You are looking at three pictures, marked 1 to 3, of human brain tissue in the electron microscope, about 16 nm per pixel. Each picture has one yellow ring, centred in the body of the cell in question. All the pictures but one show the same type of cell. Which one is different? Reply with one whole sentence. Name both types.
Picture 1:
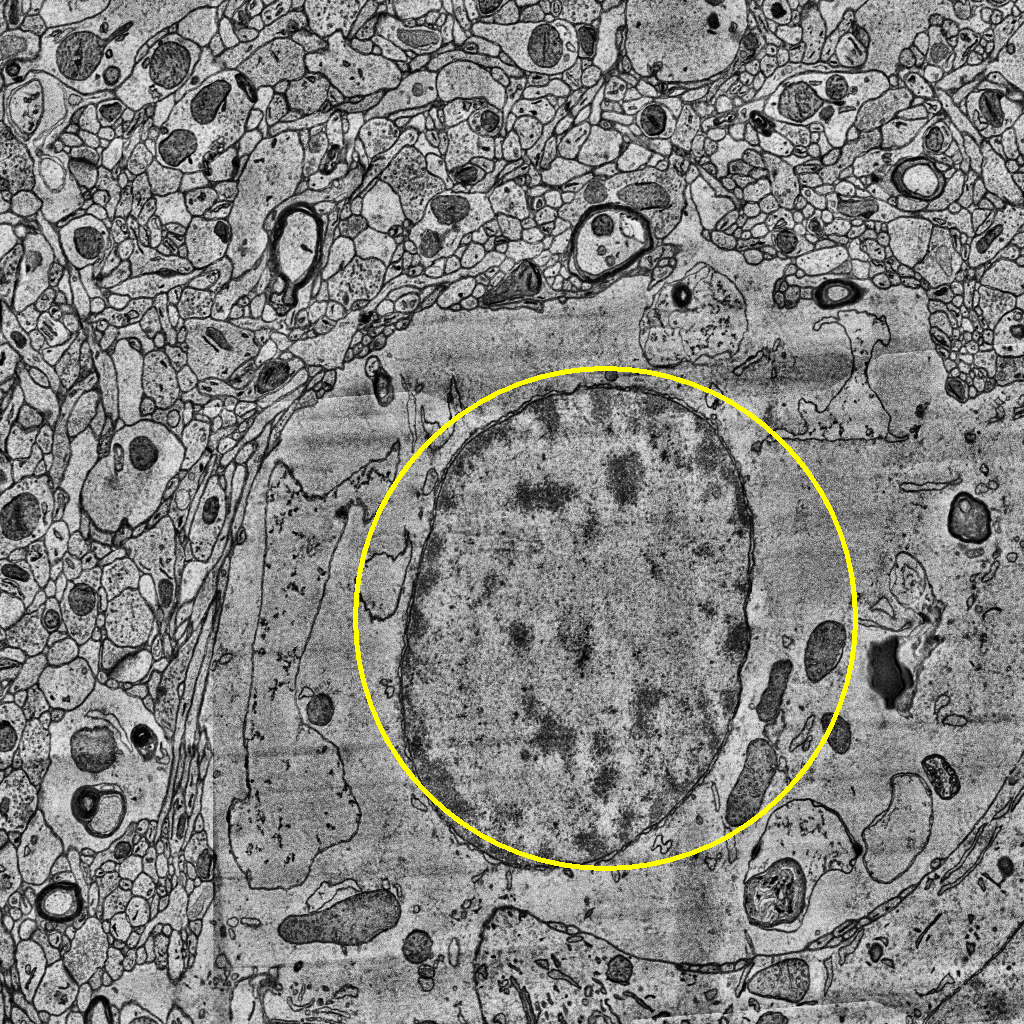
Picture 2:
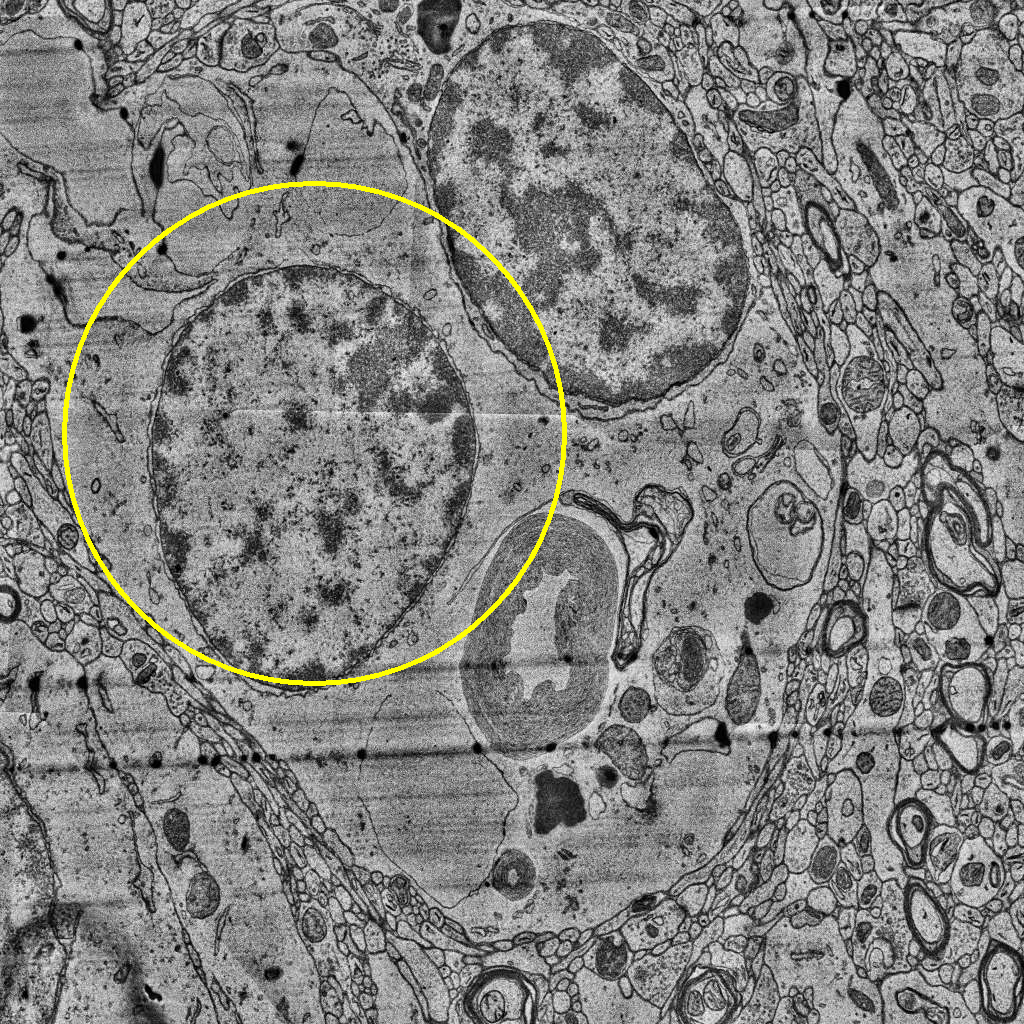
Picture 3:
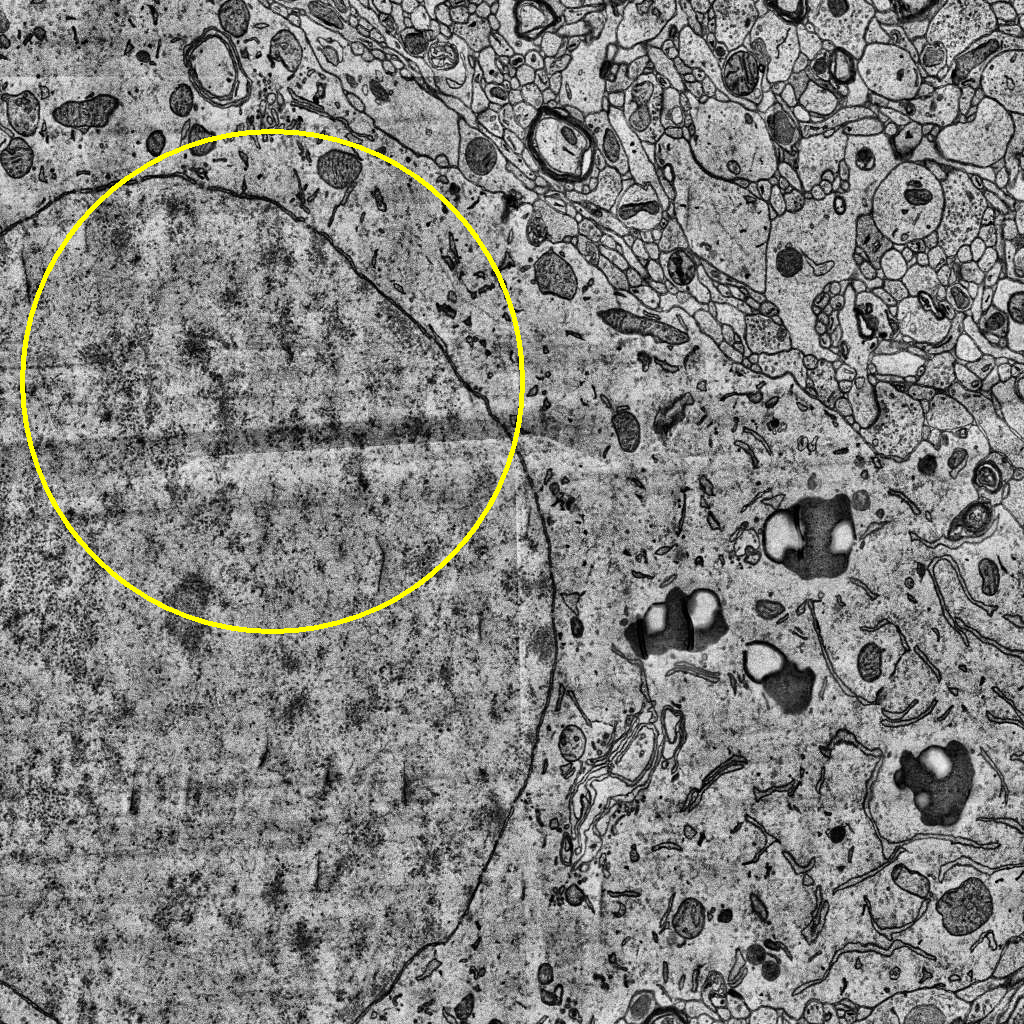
Unlike the rest, which show astrocytes, picture 3 shows a pyramidal neuron.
